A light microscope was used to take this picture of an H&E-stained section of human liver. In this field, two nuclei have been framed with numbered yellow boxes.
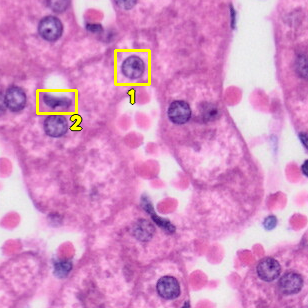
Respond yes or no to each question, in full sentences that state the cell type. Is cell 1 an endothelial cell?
No, it is a hepatocyte, not an endothelial cell, that number 1 marks.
